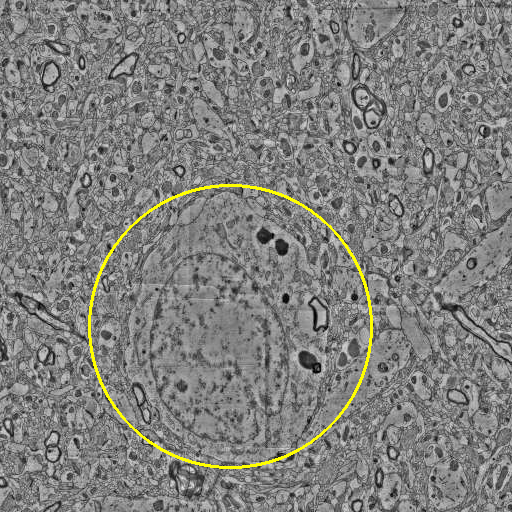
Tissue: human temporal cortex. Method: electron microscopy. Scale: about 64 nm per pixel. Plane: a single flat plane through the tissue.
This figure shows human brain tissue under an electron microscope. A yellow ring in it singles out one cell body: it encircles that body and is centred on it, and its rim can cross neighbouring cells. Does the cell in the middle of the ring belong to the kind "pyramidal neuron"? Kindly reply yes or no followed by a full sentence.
No, the cell centred in the figure's ring belongs to a different kind from the one asked.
